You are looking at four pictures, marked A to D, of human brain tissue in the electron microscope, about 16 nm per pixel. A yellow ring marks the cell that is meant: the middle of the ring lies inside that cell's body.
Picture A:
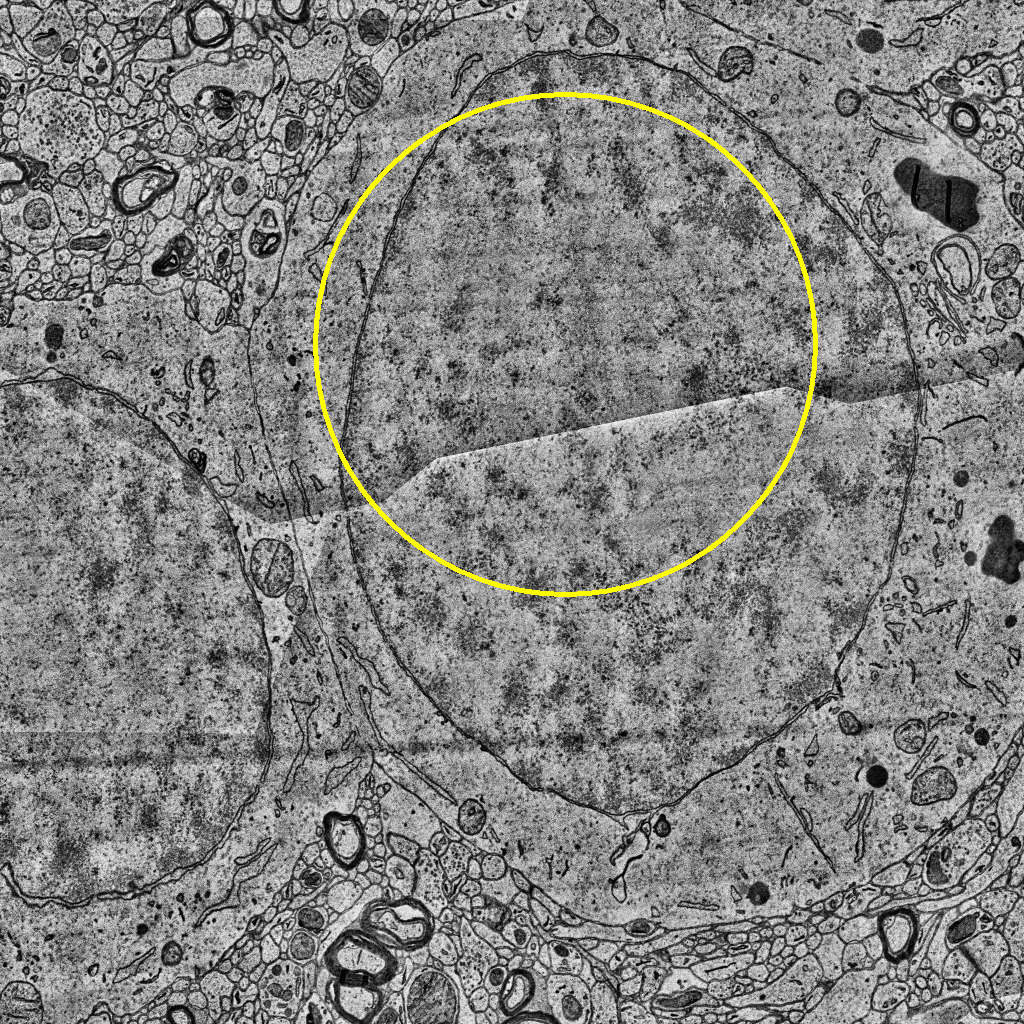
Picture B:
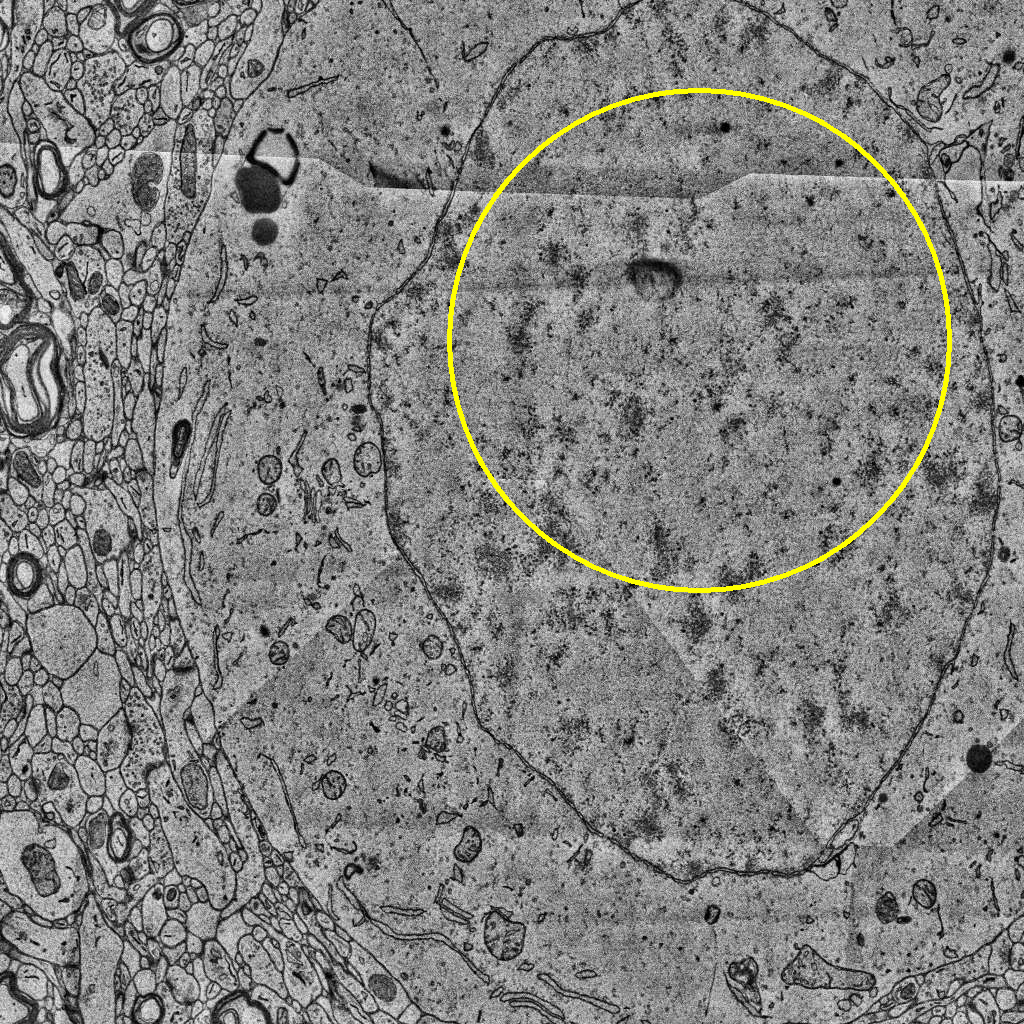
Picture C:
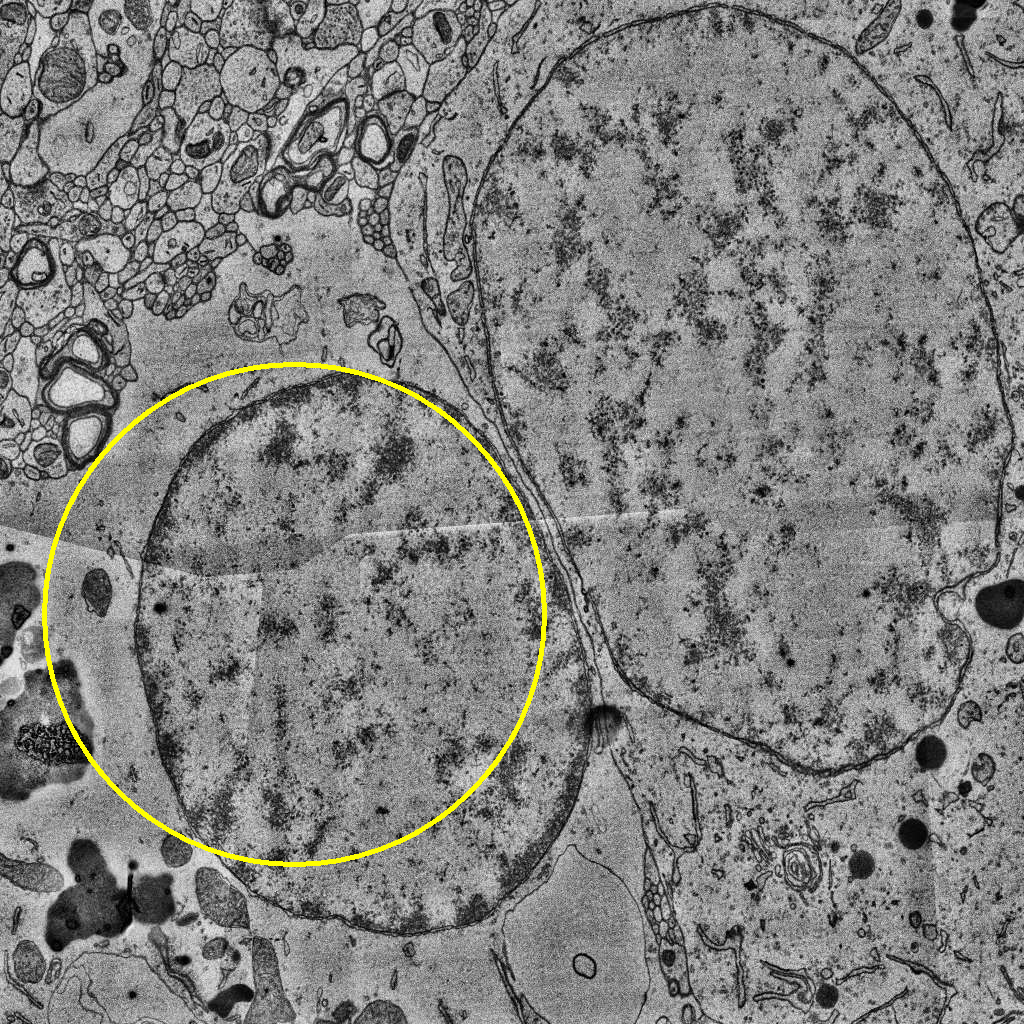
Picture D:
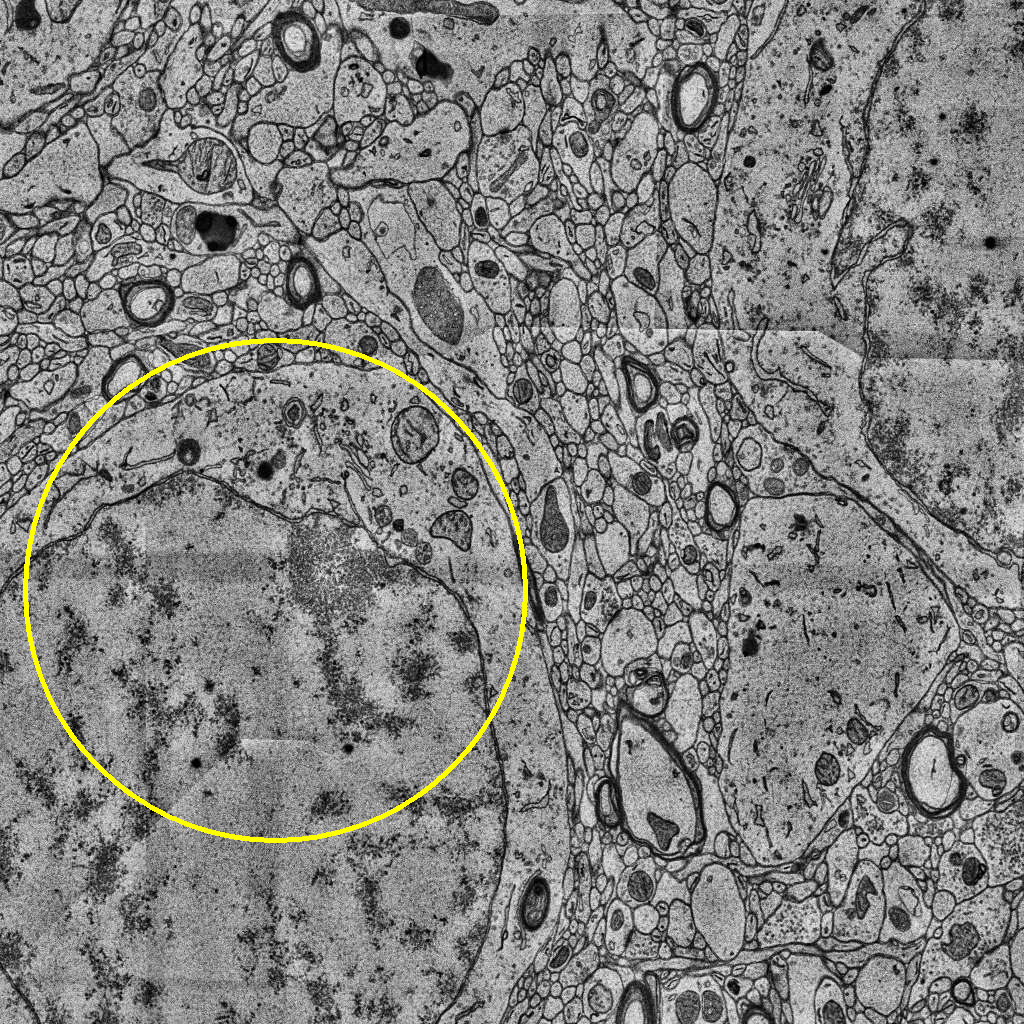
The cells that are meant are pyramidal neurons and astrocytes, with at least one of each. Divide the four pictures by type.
Pictures A, B and D show pyramidal neurons, and picture C shows an astrocyte.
